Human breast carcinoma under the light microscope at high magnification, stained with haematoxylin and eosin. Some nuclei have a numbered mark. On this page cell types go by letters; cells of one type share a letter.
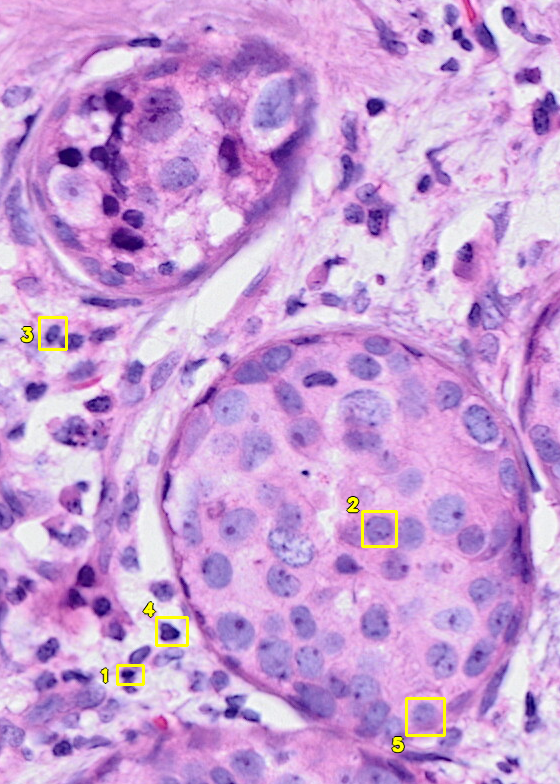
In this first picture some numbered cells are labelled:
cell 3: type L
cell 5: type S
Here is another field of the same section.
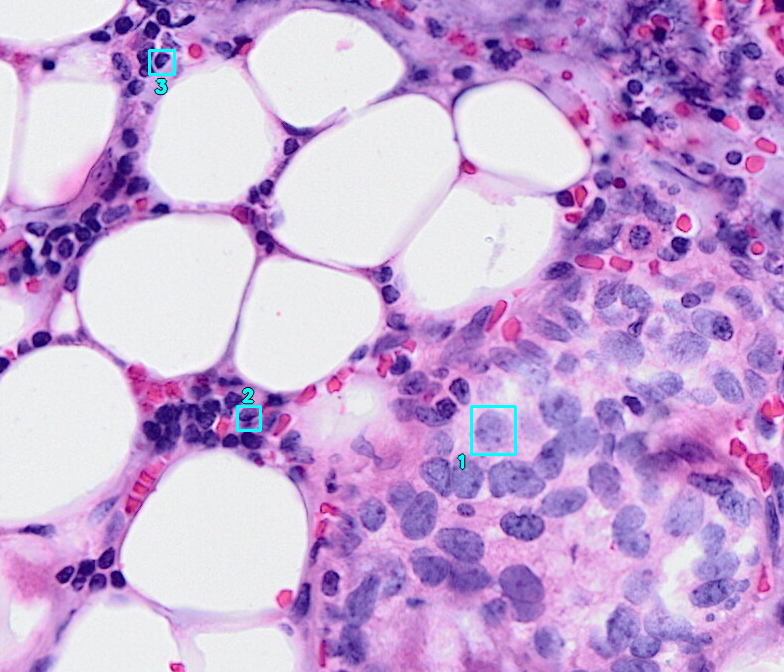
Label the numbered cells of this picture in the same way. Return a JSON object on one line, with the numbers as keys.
{"1": "type S", "2": "type L", "3": "type L"}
